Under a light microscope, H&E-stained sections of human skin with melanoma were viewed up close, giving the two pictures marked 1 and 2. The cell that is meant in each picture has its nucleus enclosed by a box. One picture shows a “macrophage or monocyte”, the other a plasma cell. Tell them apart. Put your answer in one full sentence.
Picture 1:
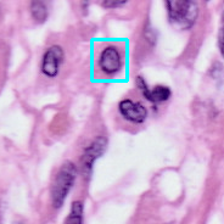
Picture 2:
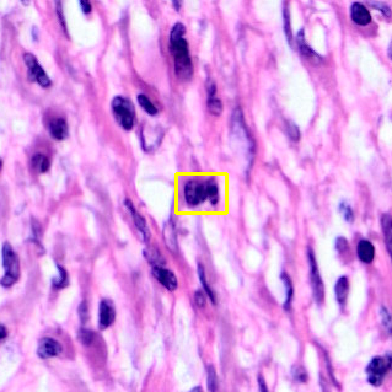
Picture 2 shows a plasma cell, while picture 1 shows a “macrophage or monocyte”.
